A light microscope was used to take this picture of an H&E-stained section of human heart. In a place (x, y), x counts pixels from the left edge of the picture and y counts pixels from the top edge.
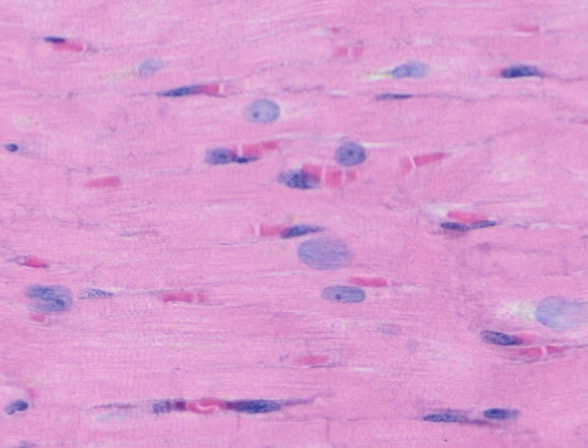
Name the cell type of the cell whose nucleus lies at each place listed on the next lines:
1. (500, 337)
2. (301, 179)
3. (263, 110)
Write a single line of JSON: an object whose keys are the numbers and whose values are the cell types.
{"1": "endothelial cell", "2": "endothelial cell", "3": "cardiomyocyte"}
